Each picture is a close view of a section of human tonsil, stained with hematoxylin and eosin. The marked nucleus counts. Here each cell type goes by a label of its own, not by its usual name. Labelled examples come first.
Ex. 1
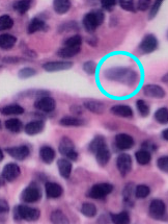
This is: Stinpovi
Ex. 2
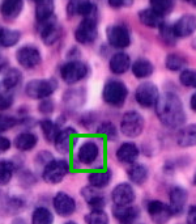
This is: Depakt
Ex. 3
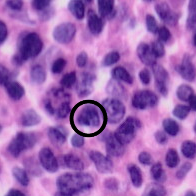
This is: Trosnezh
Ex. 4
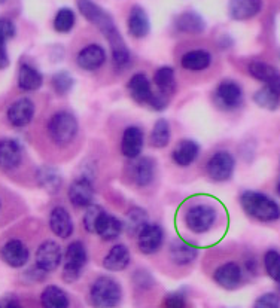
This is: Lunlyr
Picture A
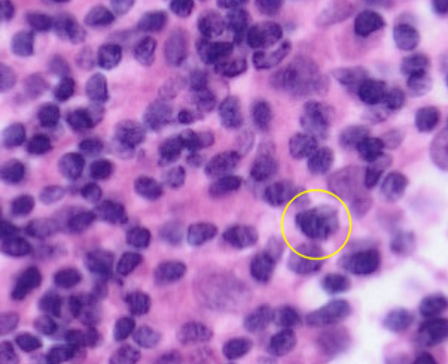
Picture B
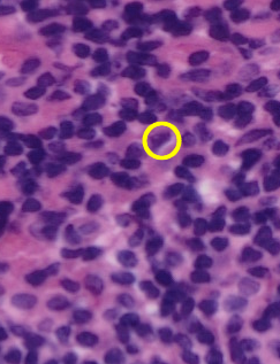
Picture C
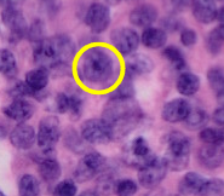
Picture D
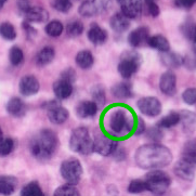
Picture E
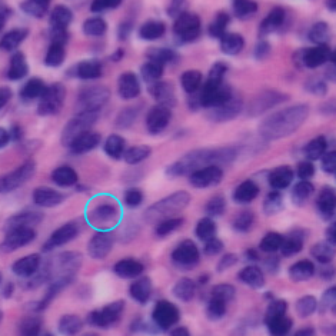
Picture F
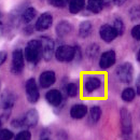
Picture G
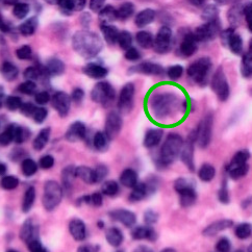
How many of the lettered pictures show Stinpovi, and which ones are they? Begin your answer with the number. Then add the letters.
Count: 2 (B, E)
